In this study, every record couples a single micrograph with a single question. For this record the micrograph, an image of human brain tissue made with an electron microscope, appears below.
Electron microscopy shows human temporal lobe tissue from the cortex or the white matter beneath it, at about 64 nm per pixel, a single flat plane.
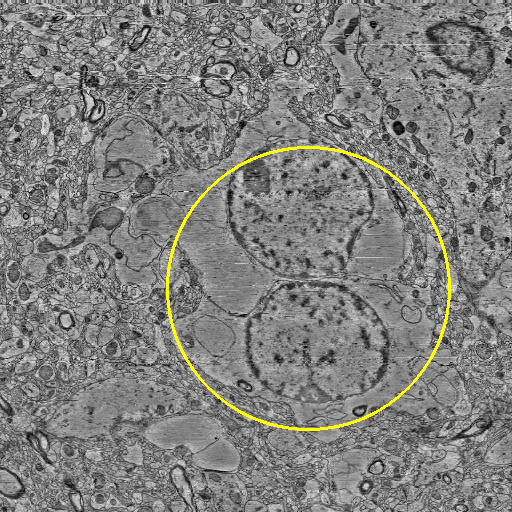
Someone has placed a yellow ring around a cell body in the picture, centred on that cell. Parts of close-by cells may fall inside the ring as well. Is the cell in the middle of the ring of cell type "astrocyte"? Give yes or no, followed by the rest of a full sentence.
Yes, the cell centred in the ring shown in the picture does have that cell type.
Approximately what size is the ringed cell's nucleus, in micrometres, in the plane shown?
In this plane the ringed cell's nucleus is roughly 9 micrometres across.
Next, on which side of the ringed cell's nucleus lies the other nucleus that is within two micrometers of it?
That other nucleus appears above it.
